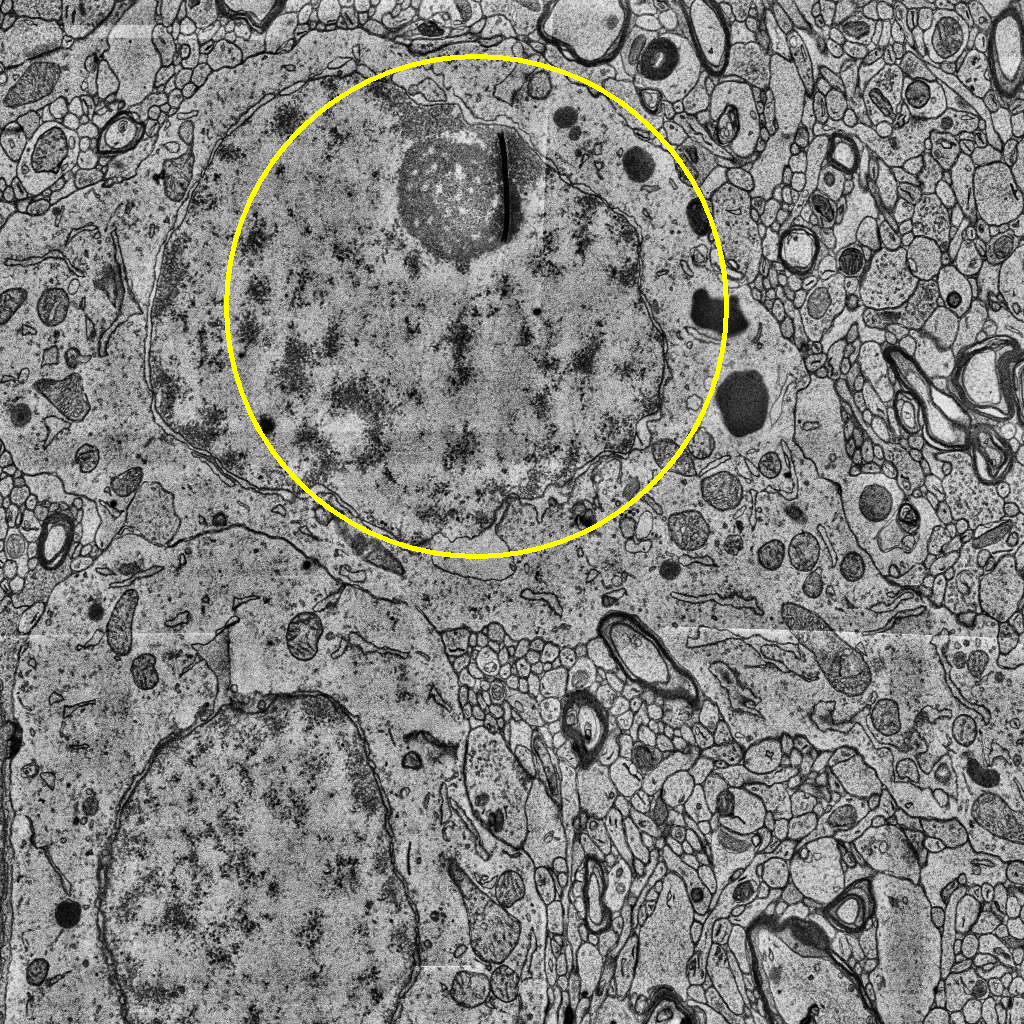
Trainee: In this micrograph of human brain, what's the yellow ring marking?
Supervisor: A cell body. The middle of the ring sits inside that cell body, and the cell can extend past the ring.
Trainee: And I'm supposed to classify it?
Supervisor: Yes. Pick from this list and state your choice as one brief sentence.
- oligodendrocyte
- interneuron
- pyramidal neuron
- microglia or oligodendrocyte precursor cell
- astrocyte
The cell at the ring's center is an interneuron.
